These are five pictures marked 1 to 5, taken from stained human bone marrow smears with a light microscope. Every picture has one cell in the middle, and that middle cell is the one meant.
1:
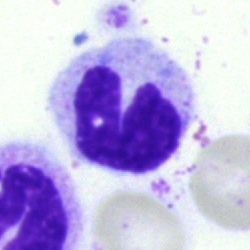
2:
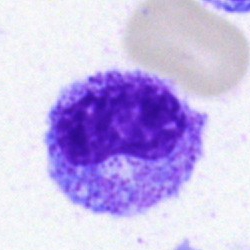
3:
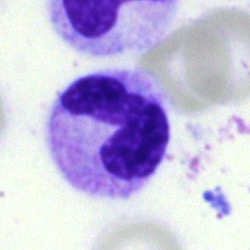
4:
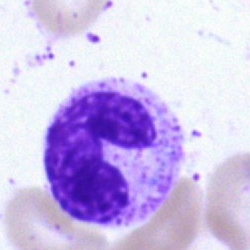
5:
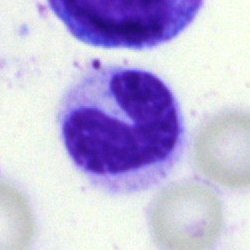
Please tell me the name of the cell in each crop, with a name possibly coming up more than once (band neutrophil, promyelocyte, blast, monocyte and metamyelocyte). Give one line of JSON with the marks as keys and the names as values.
{"1": "band neutrophil", "2": "metamyelocyte", "3": "band neutrophil", "4": "band neutrophil", "5": "band neutrophil"}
